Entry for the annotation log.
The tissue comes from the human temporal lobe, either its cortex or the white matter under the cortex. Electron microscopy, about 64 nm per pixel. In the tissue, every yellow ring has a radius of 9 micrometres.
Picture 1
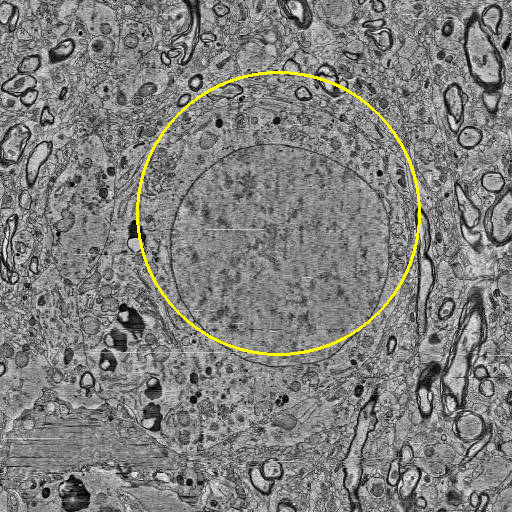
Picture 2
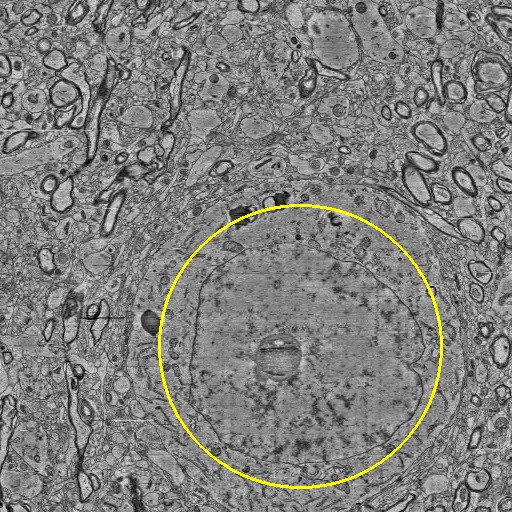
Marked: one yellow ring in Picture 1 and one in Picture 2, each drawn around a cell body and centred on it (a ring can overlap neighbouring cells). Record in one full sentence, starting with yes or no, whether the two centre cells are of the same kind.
Yes, both cells are of the same kind.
